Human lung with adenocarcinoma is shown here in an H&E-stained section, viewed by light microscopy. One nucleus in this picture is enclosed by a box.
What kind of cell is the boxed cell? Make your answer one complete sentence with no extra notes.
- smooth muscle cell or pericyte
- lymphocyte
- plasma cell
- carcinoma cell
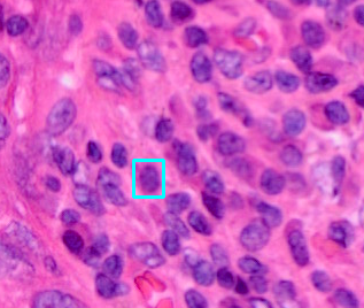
Recorded by type, the boxed cell is a plasma cell.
